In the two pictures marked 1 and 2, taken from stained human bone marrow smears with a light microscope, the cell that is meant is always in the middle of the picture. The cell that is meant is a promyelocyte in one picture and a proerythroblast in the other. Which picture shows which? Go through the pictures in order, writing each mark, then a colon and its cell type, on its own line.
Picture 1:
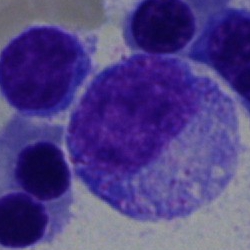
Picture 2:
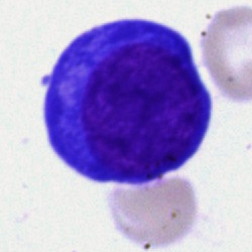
1: promyelocyte
2: proerythroblast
